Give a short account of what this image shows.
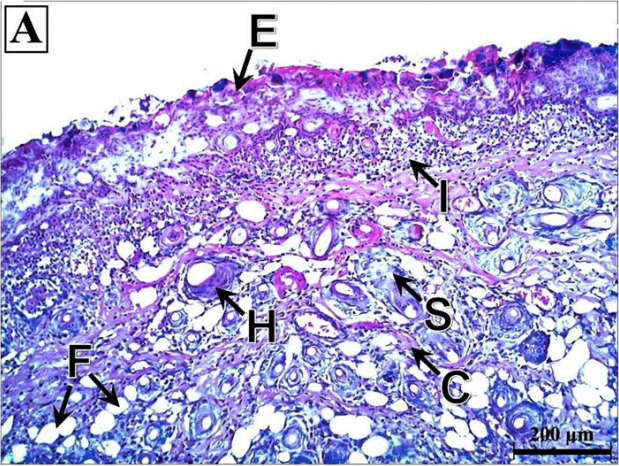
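This is a section of skin in which the surface epidermis is largely destroyed, leaving a ragged, pink, nearly cell-free layer on top. Beneath it the upper dermis is packed with dense sheets of small dark round inflammatory cell nuclei, while the deeper dermis holds irregular collagen, many round empty fat vacuoles, and distorted hair follicles and sebaceous glands.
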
